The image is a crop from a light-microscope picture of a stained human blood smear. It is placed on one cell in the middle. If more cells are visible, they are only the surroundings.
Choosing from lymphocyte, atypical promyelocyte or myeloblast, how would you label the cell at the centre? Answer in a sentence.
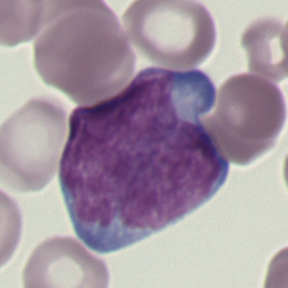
The cell at the heart of this crop is a myeloblast.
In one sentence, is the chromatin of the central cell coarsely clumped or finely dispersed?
Heads up, the chromatin is fine with no coarse clumps in it.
